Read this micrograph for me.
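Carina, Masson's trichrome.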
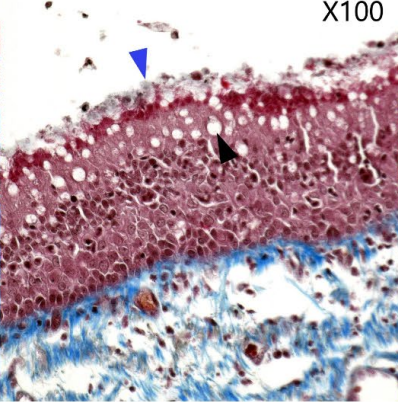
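A tall epithelium of red-stained columnar cells with nuclei stacked at several levels rests on blue-stained connective tissue. Its free surface bears a fine pale fringe, and many round clear cells are scattered among the red cells near the surface. This is a ciliated respiratory epithelium with goblet cells over its lamina propria.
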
